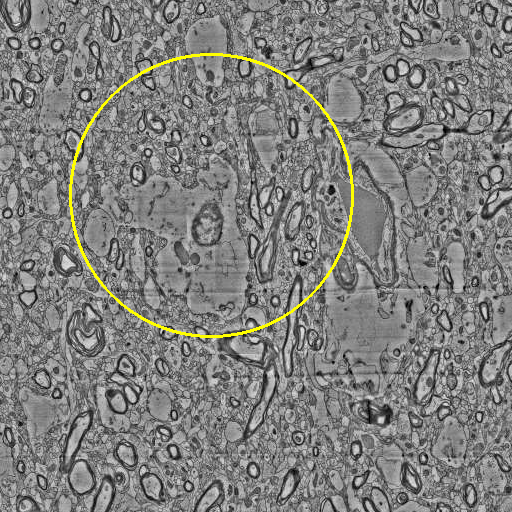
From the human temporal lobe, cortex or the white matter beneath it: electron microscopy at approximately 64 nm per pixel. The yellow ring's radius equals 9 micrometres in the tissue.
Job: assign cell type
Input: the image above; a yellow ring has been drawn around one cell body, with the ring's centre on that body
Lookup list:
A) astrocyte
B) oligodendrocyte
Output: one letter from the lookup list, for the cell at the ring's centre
A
